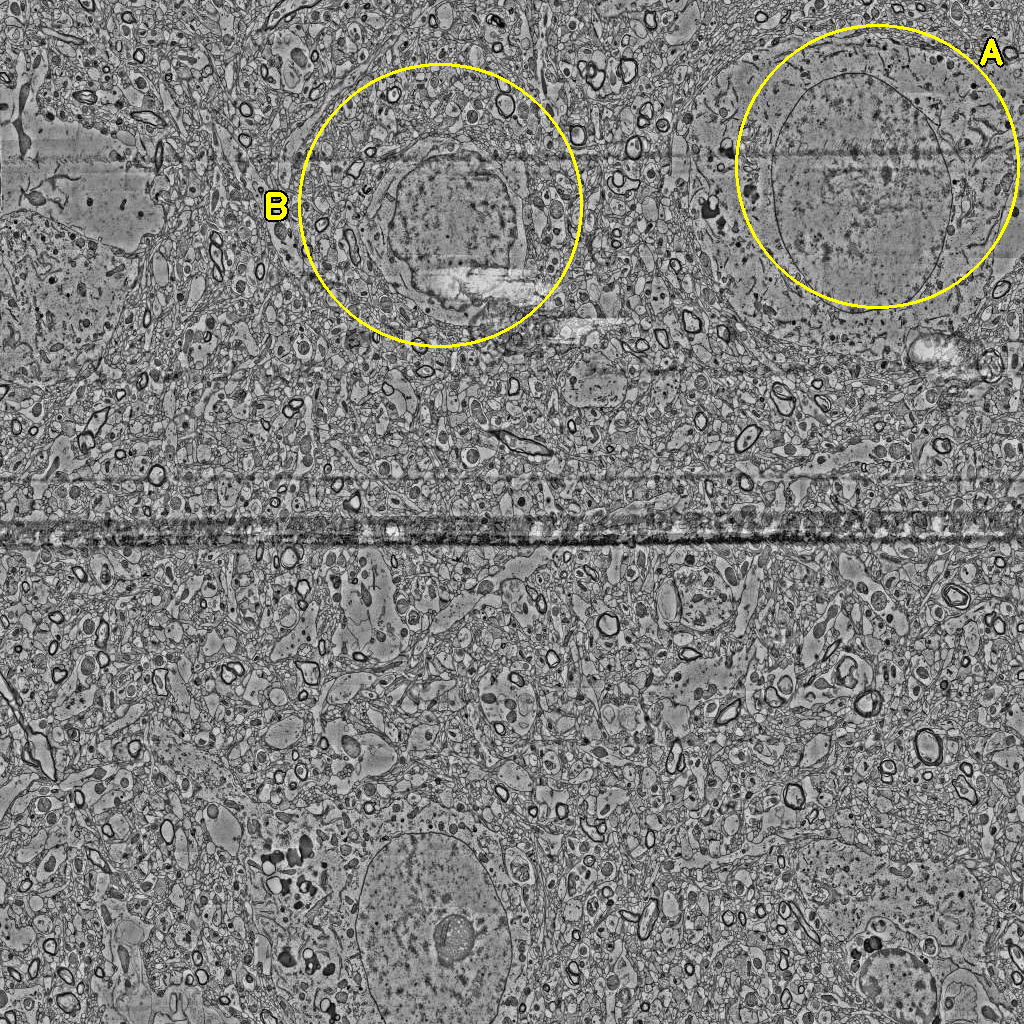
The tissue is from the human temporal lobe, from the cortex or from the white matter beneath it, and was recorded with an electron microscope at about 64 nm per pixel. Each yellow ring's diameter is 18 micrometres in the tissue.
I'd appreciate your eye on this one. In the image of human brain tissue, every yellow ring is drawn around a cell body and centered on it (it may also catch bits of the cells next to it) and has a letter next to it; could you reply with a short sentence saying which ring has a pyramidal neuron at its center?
Ring A is centered on it.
